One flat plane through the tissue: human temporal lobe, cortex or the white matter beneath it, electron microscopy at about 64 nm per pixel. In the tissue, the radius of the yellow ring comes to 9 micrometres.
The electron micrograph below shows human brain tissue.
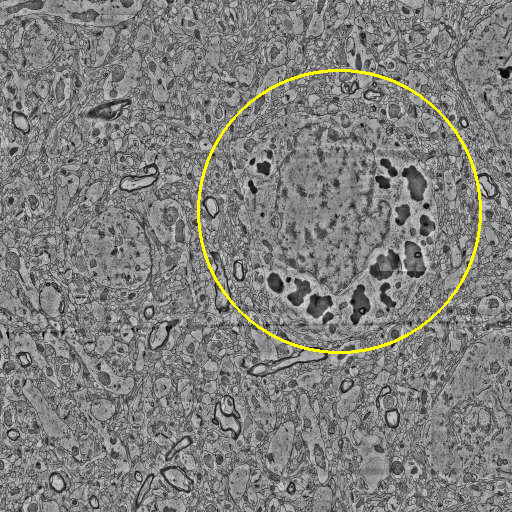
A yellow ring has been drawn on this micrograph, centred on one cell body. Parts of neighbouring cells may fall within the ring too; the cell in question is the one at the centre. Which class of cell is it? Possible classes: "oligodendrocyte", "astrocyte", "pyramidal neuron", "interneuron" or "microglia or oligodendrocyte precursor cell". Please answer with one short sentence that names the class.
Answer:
In the centre of the ring sits an interneuron.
